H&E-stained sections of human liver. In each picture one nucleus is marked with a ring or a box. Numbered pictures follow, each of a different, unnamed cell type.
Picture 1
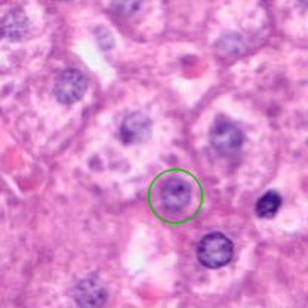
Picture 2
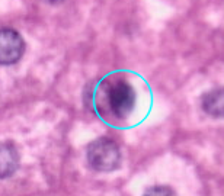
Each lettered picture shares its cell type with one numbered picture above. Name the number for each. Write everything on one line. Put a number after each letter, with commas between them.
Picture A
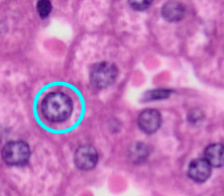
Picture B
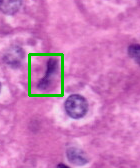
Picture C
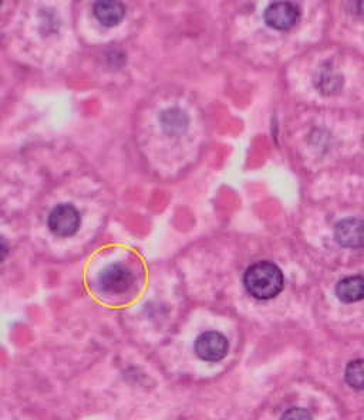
A 1, B 2, C 2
